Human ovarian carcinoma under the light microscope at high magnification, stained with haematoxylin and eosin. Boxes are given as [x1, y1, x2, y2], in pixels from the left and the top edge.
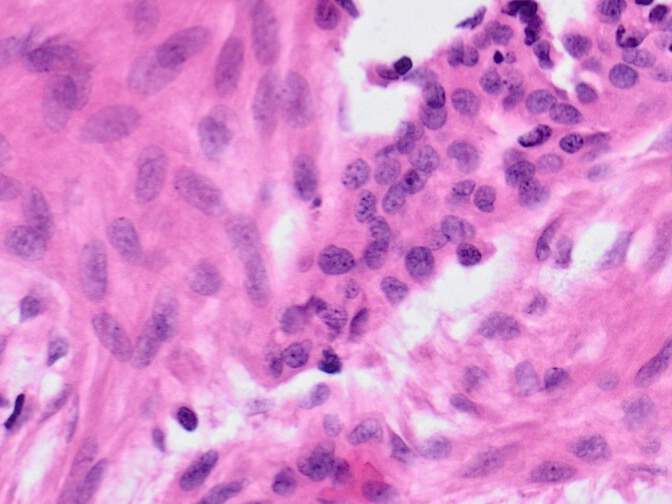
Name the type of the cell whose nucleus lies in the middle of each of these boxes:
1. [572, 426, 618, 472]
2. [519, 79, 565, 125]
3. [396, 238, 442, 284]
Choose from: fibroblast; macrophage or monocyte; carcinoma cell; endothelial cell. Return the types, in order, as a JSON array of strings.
["fibroblast", "carcinoma cell", "carcinoma cell"]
